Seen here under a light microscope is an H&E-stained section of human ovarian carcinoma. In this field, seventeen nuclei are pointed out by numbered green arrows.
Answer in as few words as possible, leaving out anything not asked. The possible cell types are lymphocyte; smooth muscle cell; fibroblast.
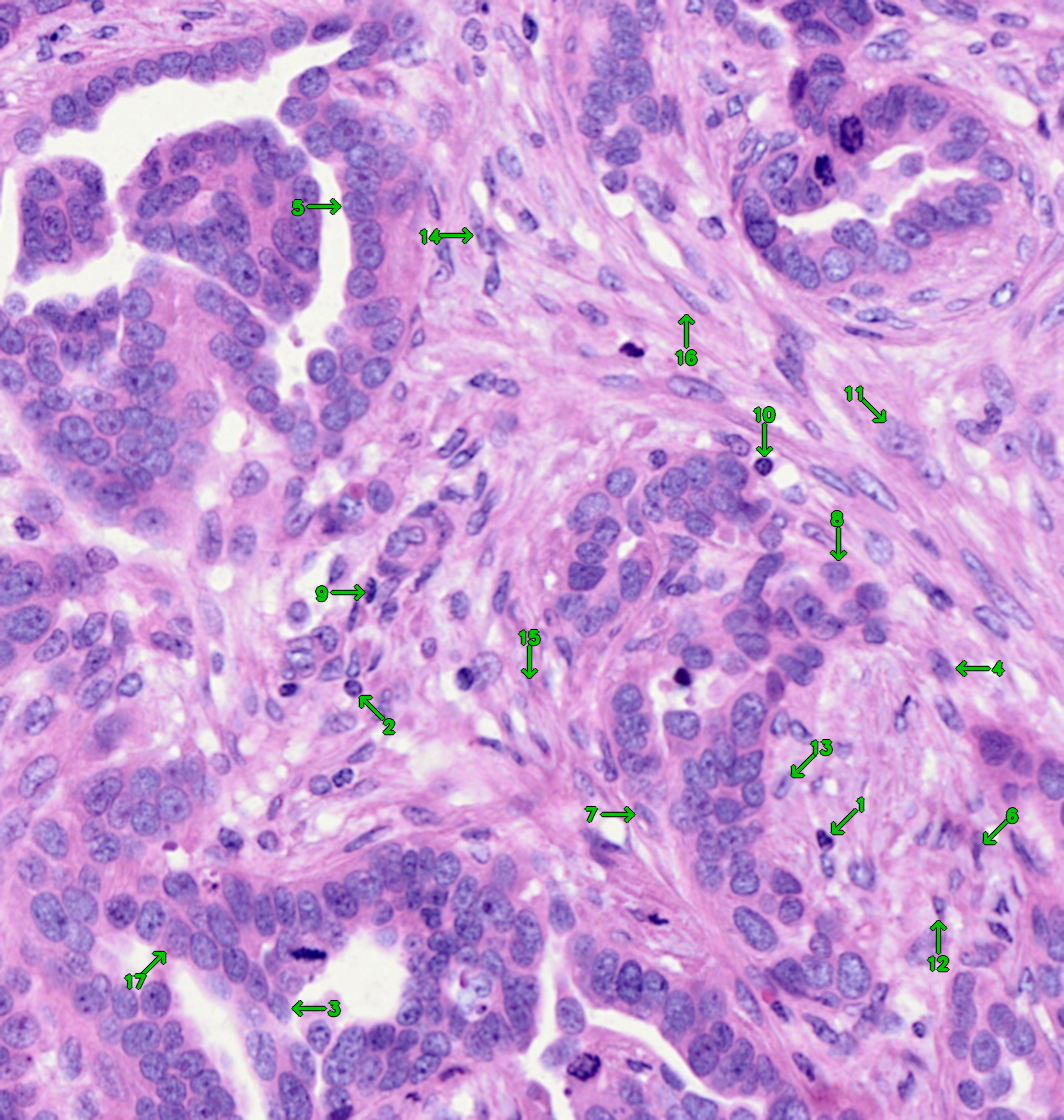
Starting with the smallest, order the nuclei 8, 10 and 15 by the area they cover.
15, 10, 8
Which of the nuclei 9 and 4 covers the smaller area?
9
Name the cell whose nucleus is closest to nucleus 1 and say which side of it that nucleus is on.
a fibroblast; below nucleus 1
